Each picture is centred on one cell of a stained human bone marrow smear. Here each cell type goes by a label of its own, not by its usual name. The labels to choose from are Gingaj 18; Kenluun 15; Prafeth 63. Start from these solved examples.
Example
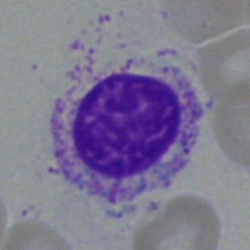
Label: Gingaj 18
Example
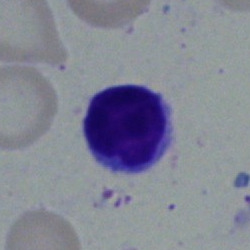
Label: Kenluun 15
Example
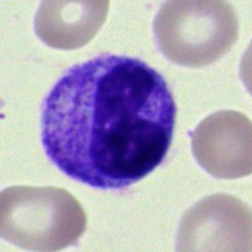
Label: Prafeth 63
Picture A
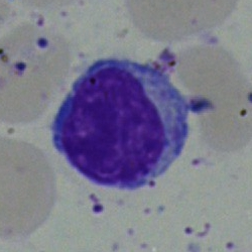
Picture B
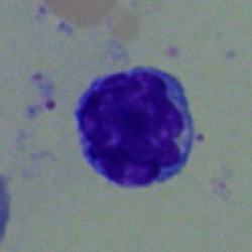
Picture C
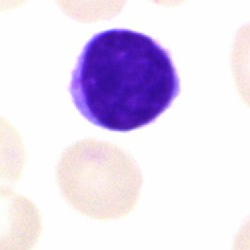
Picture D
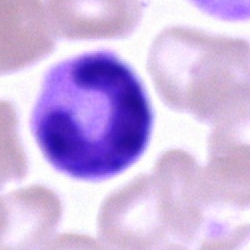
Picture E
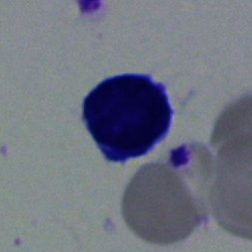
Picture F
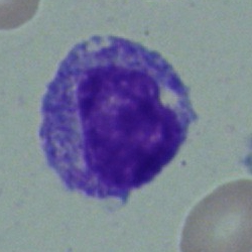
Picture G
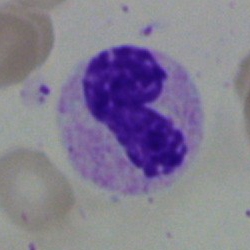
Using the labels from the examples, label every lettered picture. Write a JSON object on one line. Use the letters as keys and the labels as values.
{"A": "Kenluun 15", "B": "Kenluun 15", "C": "Kenluun 15", "D": "Prafeth 63", "E": "Kenluun 15", "F": "Gingaj 18", "G": "Prafeth 63"}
